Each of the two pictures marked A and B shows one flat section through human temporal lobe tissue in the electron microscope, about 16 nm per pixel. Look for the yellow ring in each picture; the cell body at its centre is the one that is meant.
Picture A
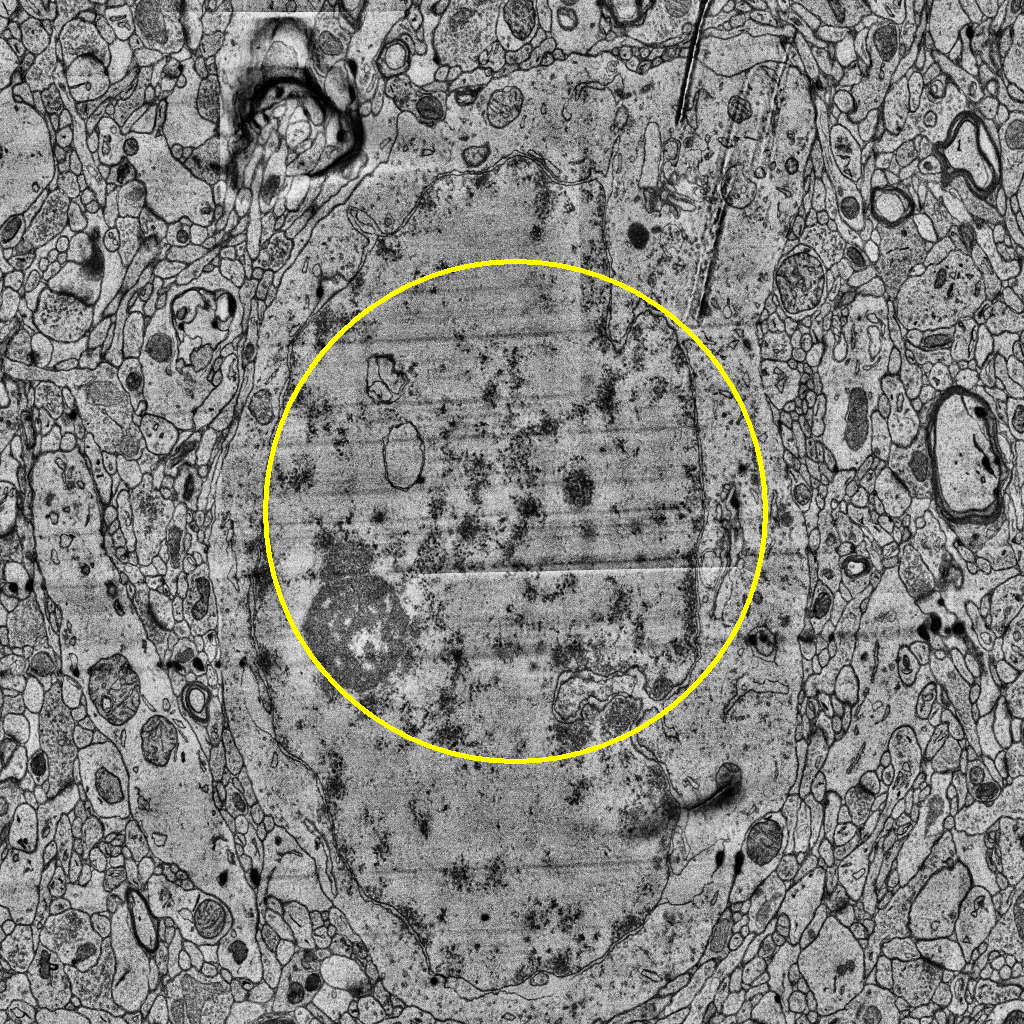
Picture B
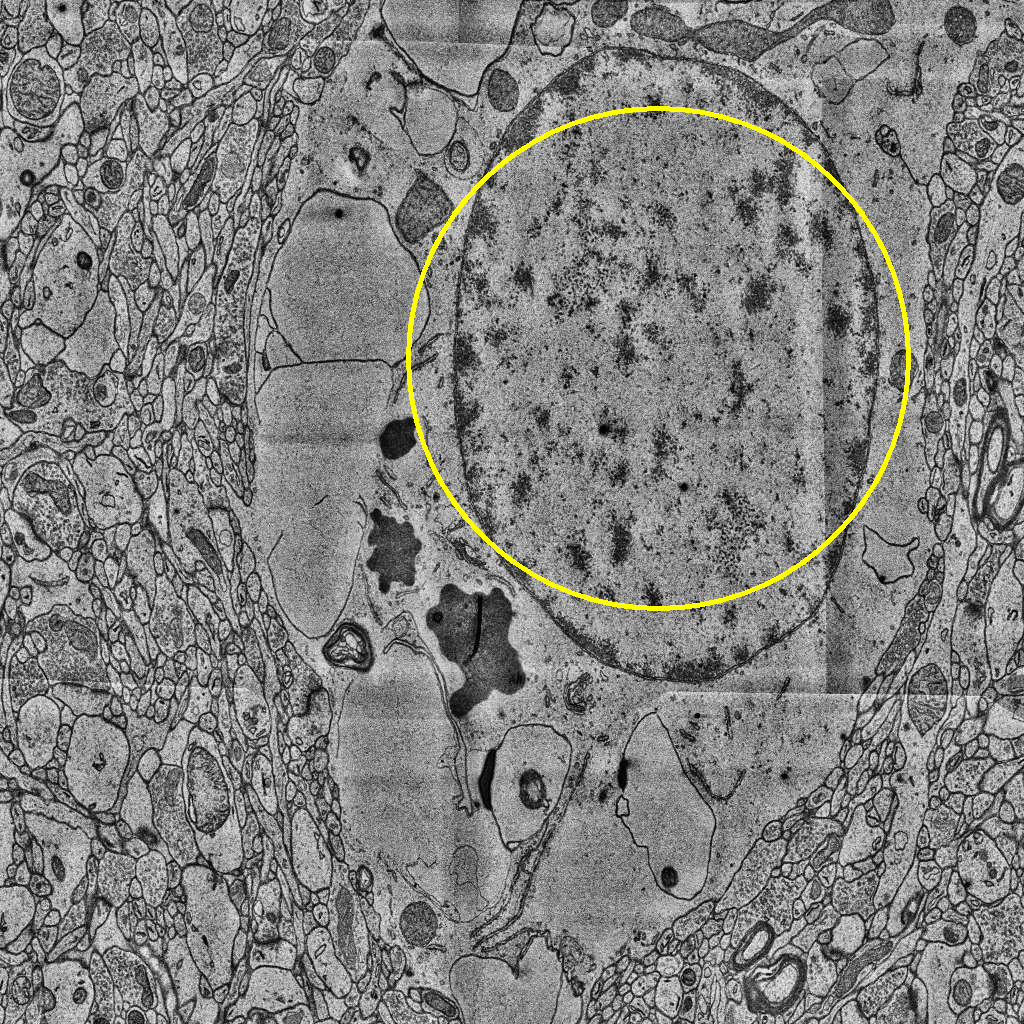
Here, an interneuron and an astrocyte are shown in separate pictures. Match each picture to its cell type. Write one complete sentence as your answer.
Picture A shows an interneuron and picture B shows an astrocyte.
